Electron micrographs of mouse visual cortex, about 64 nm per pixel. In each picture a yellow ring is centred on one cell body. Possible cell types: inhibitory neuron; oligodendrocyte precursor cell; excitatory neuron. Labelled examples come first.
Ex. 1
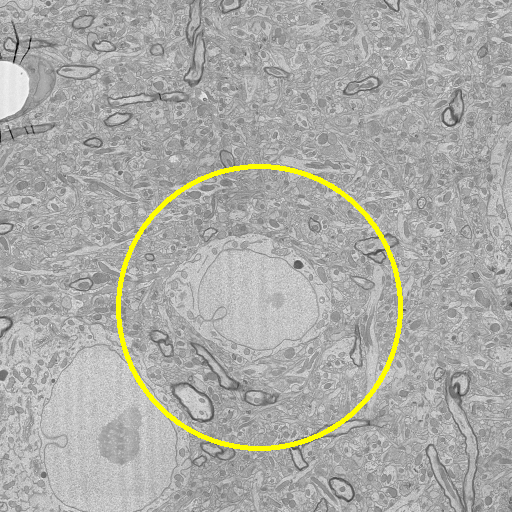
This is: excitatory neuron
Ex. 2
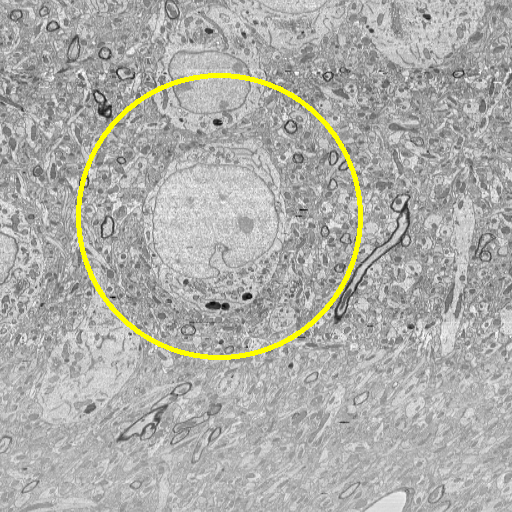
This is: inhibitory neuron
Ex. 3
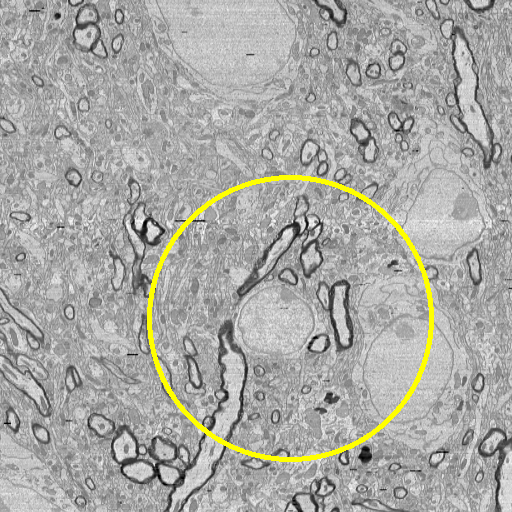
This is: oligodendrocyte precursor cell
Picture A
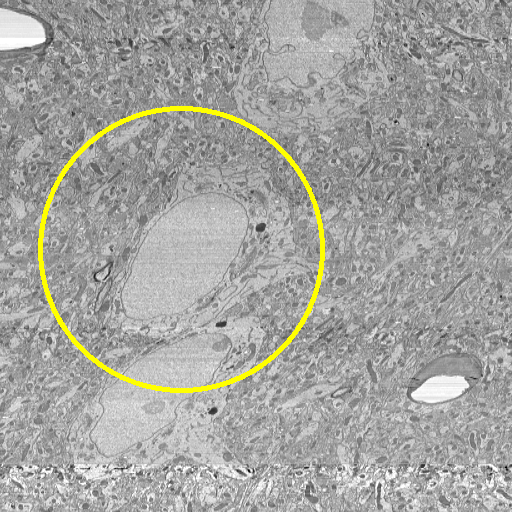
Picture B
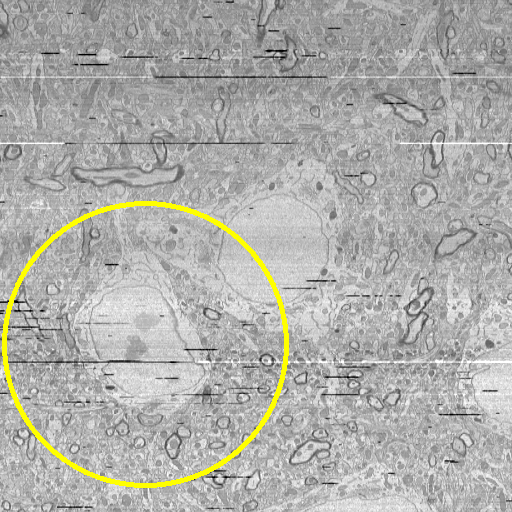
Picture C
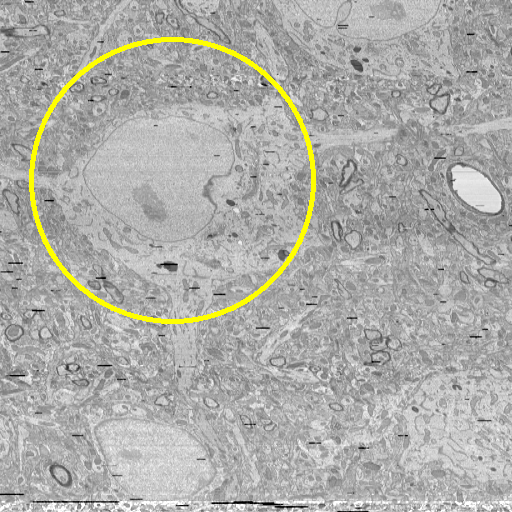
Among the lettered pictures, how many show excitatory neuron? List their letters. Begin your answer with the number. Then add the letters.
3: A, B, C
